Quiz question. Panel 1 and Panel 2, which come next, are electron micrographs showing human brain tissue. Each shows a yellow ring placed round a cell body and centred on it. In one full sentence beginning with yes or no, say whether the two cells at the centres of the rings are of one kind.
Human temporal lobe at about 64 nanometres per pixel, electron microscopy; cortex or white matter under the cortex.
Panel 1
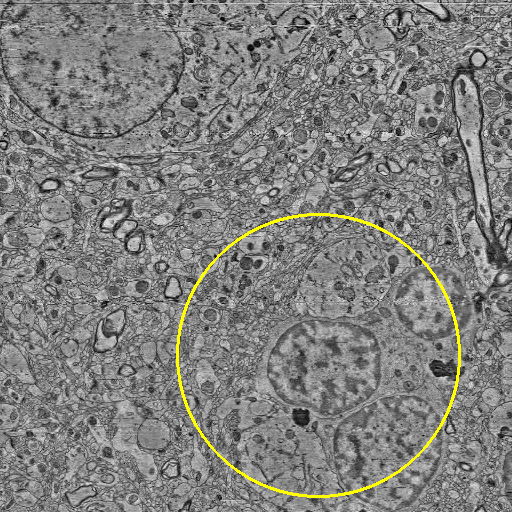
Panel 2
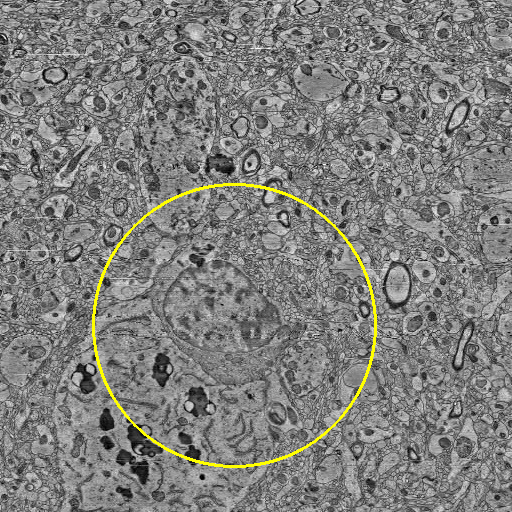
Yes, Panel 1 and Panel 2 show one kind of cell at the centre of the ring.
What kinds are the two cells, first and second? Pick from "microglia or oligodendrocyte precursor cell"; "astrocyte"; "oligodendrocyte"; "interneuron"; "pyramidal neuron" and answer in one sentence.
The second cell is an oligodendrocyte, just as the first is.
